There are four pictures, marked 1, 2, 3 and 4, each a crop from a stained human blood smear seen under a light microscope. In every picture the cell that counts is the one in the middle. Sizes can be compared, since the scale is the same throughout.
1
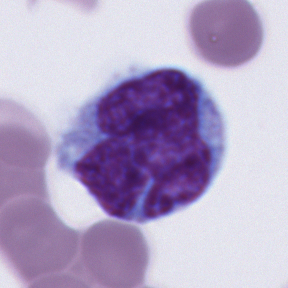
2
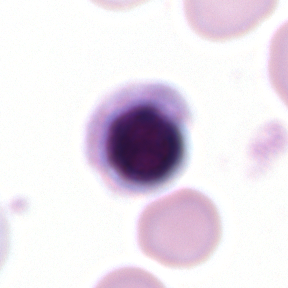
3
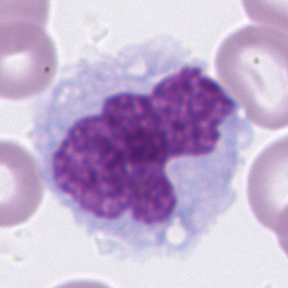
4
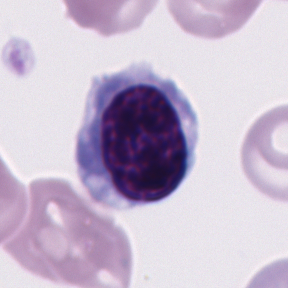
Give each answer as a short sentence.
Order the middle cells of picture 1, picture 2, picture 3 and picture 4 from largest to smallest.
Largest first: 3, 1, 4, 2.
